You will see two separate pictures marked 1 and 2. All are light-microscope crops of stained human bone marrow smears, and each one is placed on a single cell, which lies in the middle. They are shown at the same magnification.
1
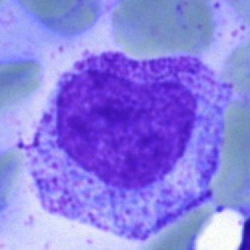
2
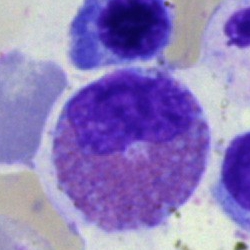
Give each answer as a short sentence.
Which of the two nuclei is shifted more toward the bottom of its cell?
It is the nucleus in crop 1 that lies further toward the bottom of its cell.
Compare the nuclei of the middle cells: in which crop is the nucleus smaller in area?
The nucleus in crop 2 is smaller; the one in crop 1 has about 2 times its area.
